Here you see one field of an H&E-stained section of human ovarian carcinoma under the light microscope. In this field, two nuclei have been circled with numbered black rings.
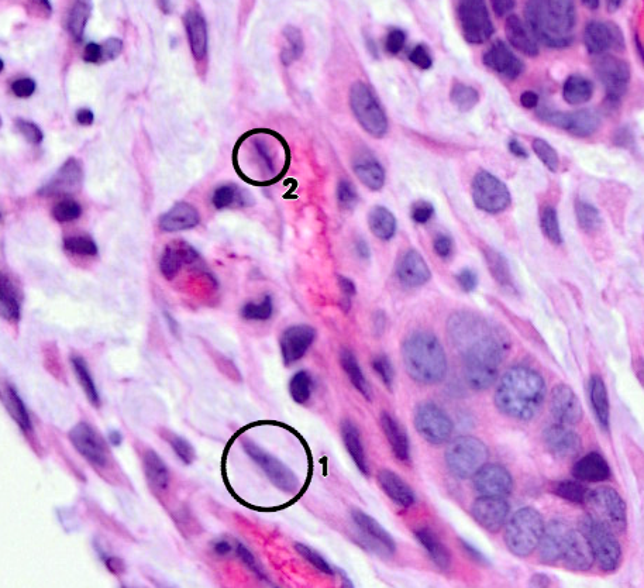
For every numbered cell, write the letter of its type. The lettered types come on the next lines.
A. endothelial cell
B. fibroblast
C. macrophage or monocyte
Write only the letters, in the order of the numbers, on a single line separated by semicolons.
B; A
